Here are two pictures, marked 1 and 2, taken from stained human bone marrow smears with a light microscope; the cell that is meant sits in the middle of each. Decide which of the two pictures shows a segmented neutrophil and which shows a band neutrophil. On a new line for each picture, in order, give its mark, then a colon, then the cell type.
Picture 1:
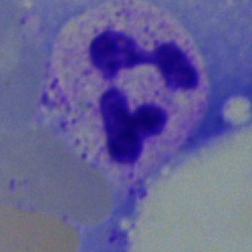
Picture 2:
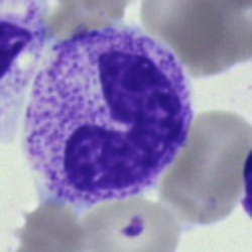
1: segmented neutrophil
2: band neutrophil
